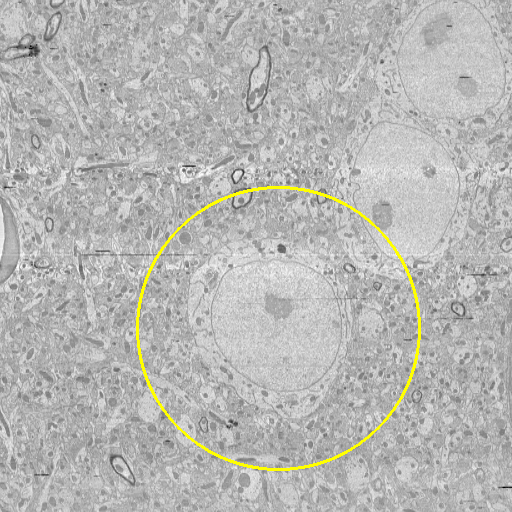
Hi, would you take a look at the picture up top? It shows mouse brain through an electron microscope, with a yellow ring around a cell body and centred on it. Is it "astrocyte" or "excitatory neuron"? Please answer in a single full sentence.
The best fit for the cell in the middle of the ring is an excitatory neuron, I reckon.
